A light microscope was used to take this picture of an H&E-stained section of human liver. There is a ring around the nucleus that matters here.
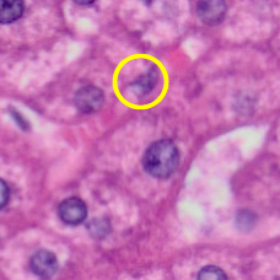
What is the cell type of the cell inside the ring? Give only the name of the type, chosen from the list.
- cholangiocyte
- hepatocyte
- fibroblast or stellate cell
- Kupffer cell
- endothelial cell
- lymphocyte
endothelial cell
